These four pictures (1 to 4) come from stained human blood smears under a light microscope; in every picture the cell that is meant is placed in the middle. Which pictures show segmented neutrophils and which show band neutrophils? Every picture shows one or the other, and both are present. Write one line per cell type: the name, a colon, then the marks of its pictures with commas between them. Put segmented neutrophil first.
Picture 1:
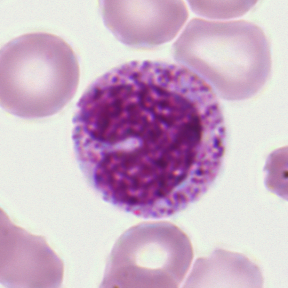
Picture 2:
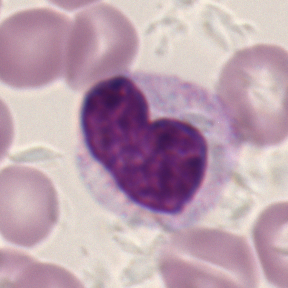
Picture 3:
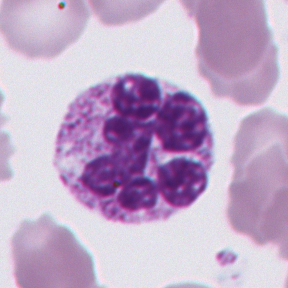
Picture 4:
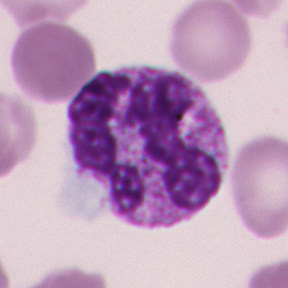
segmented neutrophil: 3, 4
band neutrophil: 1, 2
